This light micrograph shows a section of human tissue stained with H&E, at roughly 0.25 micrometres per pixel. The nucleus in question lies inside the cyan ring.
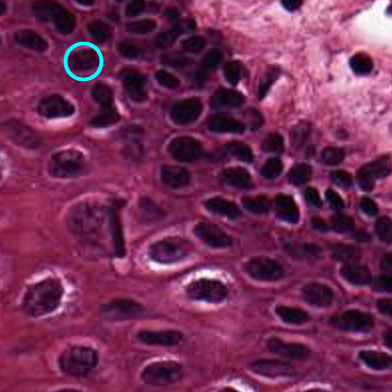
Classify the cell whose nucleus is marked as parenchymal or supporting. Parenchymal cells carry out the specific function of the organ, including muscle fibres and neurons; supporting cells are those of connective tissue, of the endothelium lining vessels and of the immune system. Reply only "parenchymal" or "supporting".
parenchymal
